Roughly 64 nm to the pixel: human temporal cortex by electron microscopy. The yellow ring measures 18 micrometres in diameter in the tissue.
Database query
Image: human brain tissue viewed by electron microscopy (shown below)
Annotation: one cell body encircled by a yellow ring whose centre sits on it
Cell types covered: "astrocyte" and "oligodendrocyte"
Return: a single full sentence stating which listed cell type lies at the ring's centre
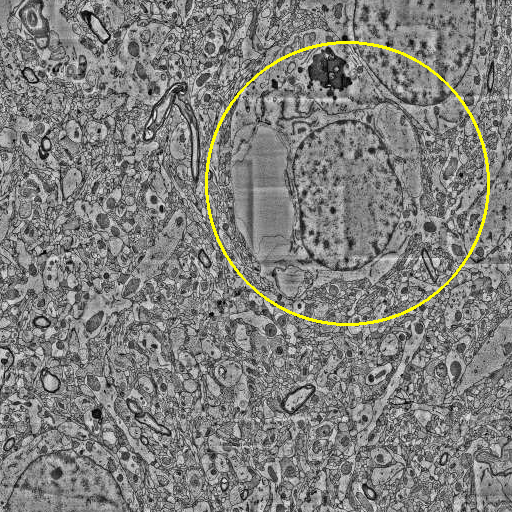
In the image, the cell lying at the ring's centre is an astrocyte.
